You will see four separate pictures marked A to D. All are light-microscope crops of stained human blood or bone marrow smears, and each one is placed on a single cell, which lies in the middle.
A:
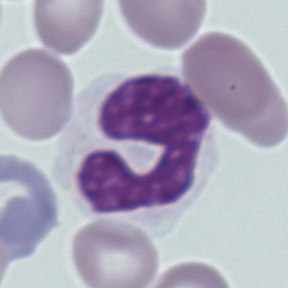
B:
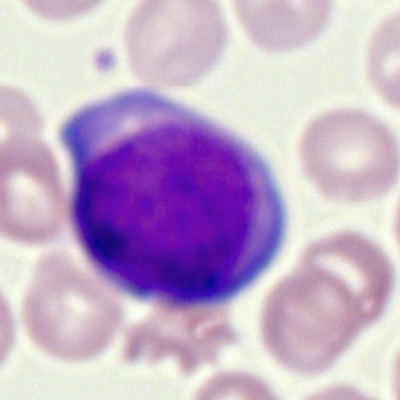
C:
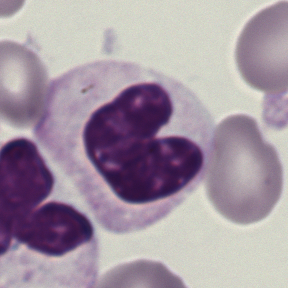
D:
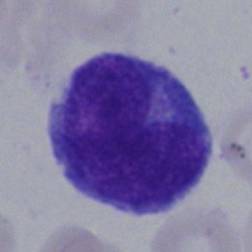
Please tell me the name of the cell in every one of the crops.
A: band neutrophil
B: blast
C: band neutrophil
D: blast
